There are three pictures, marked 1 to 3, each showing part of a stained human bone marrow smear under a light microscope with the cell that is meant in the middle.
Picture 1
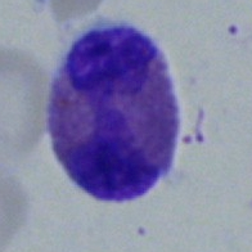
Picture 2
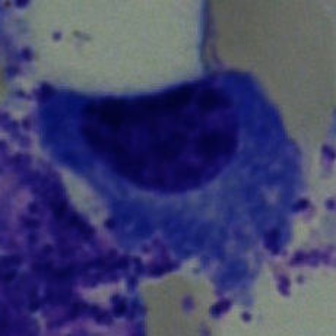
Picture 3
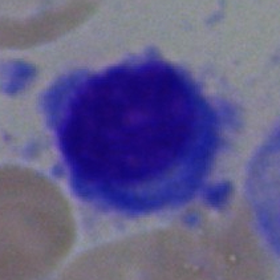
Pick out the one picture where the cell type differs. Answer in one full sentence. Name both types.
Picture 1 differs, because its cell is an eosinophil and the rest are plasma cells.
